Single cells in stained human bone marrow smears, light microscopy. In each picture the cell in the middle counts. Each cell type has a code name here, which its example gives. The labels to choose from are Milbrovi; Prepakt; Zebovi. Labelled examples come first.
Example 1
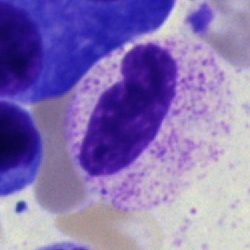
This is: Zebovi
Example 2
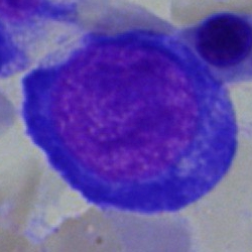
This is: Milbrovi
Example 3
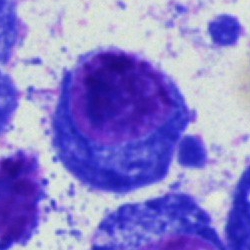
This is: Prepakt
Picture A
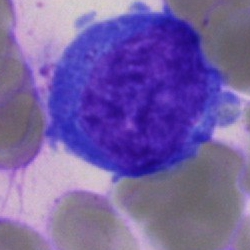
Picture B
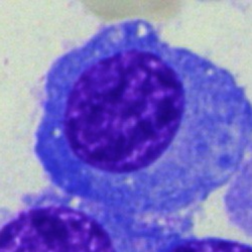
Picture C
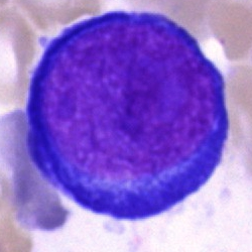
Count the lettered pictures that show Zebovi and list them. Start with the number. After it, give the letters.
0, none of them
